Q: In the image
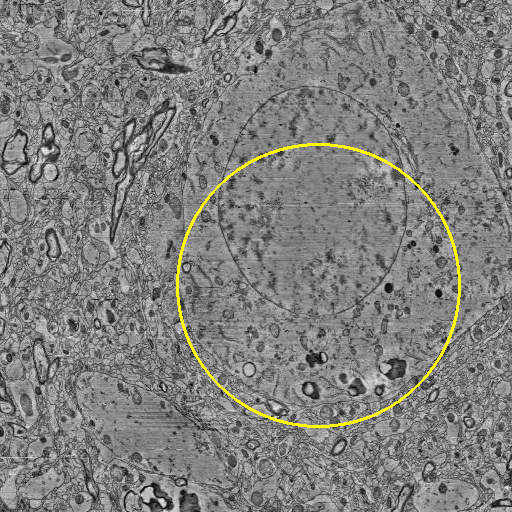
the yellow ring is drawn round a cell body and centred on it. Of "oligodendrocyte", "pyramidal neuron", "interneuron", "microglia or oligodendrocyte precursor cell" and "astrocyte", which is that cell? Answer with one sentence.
The cell centred in the ring is a pyramidal neuron.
